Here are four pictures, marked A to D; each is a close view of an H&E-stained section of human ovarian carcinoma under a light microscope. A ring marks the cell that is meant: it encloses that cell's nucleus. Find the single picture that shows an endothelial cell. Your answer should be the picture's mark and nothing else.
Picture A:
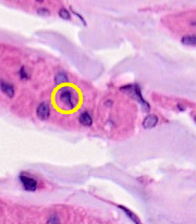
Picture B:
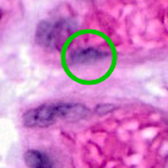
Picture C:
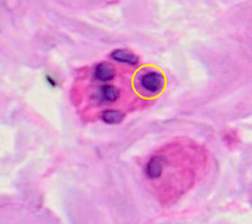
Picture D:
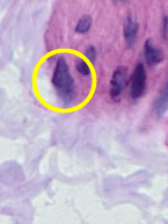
B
